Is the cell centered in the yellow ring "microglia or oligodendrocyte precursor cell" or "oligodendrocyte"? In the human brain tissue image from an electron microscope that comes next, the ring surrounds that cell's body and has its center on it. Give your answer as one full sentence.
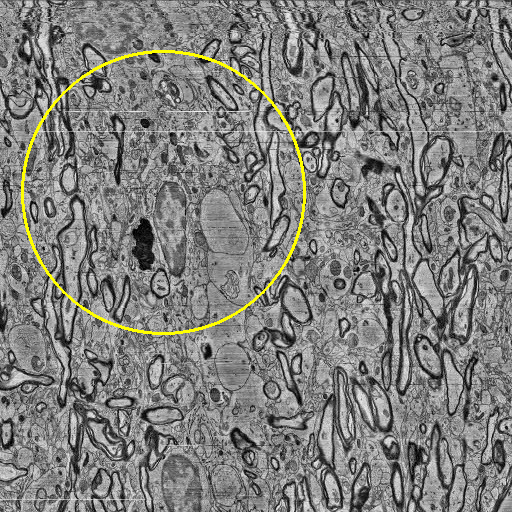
The cell at the center of the yellow ring is a microglial cell or oligodendrocyte precursor cell in the micrograph.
